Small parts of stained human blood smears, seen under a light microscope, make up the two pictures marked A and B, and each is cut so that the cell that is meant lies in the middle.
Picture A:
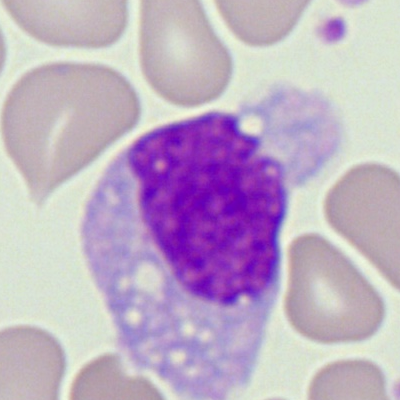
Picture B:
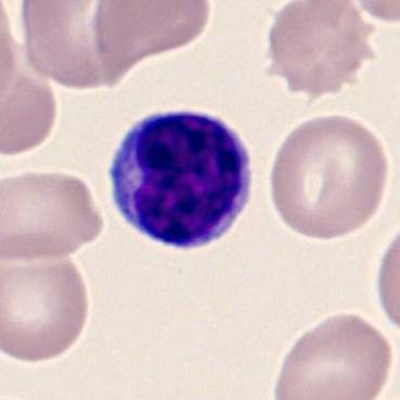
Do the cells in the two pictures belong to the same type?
no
